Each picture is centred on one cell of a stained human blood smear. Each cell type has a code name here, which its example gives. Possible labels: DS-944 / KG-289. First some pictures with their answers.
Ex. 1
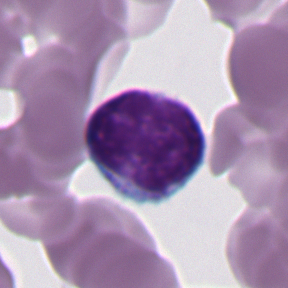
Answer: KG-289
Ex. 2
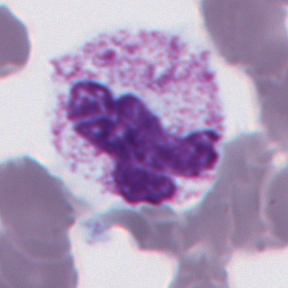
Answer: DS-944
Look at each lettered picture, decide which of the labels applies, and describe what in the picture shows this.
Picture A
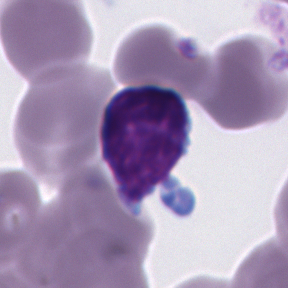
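Answer: KG-289. The nucleus fills almost the whole cell.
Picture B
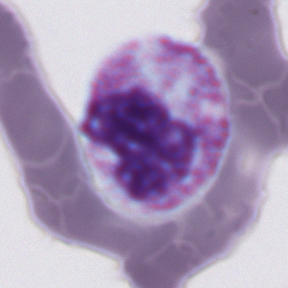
Answer: DS-944. The cytoplasm is plentiful and pale, with most of it above the nucleus.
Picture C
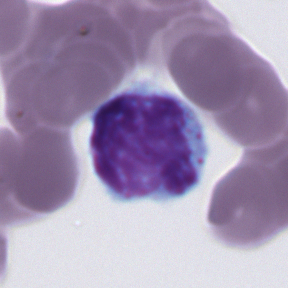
Answer: KG-289. The cytoplasm is a thin rim, widest along the right side of the cell.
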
